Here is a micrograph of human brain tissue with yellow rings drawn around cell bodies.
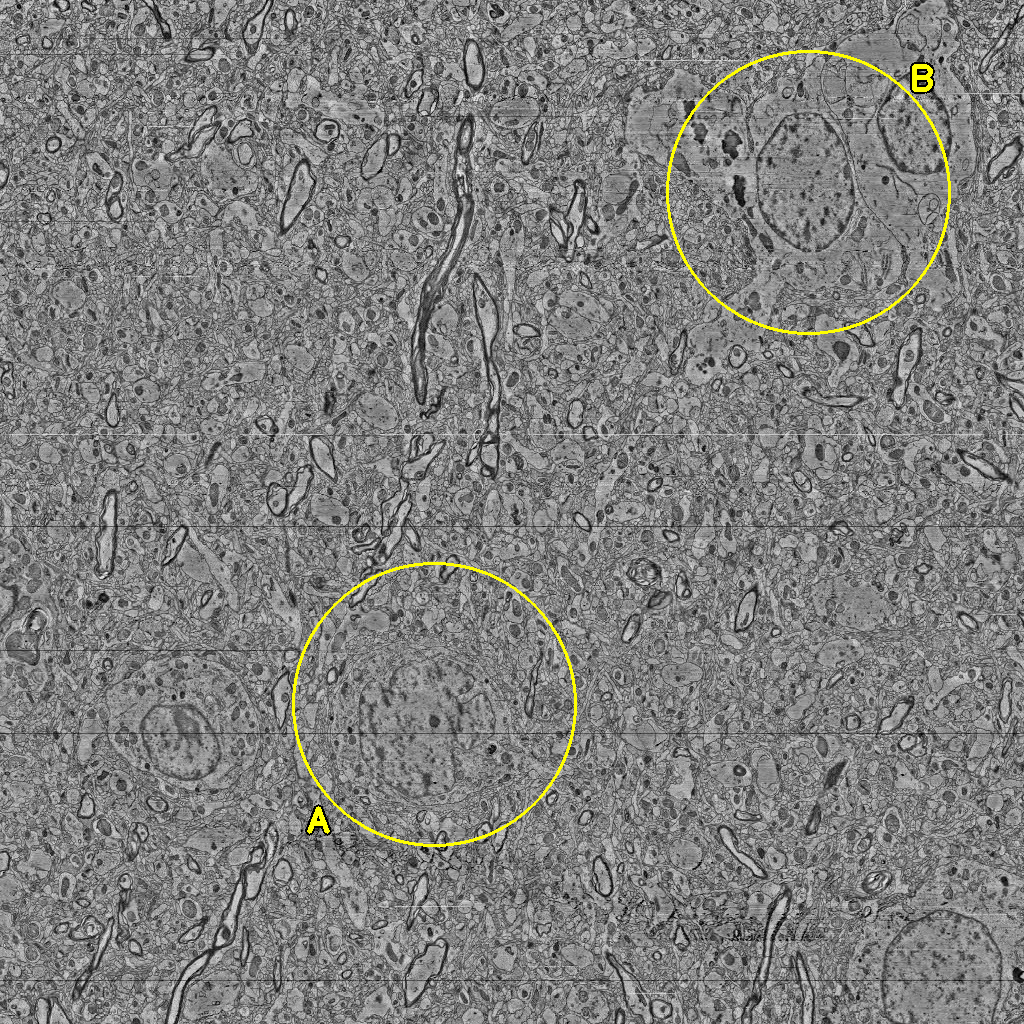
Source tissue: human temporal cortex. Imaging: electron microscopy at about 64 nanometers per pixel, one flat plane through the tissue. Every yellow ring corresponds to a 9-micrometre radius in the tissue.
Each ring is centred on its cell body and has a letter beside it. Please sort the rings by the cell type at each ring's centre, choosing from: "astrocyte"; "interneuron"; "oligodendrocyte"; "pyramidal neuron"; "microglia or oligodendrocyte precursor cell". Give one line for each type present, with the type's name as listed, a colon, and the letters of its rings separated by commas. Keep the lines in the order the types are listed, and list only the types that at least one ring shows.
astrocyte: B
interneuron: A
